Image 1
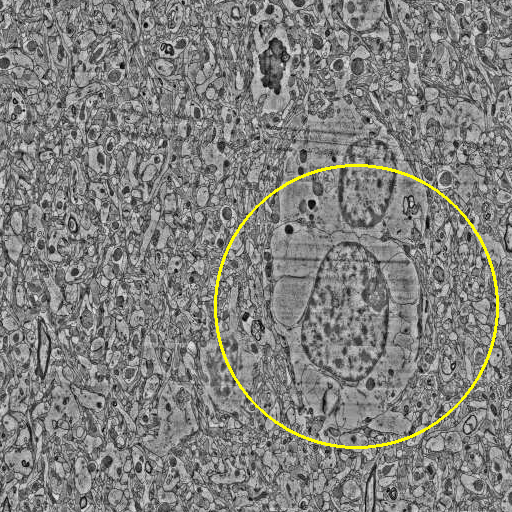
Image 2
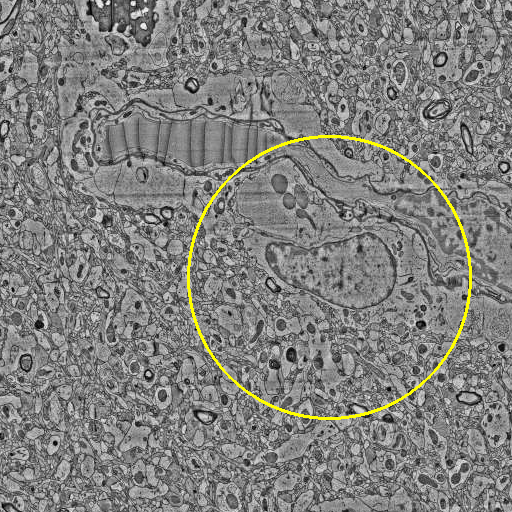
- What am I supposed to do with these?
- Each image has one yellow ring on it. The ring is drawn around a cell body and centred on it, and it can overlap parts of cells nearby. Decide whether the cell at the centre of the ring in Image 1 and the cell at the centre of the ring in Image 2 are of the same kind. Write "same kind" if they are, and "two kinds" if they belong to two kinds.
two kinds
